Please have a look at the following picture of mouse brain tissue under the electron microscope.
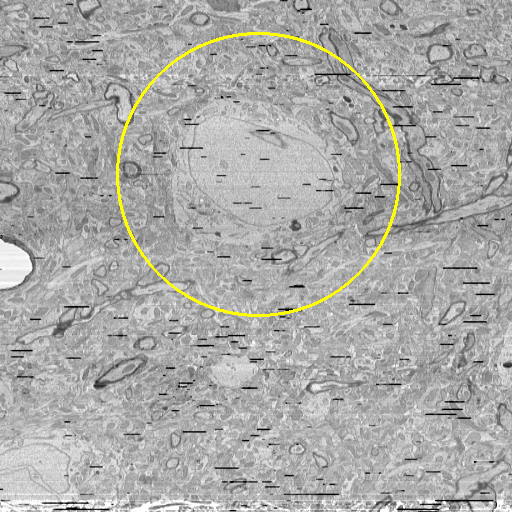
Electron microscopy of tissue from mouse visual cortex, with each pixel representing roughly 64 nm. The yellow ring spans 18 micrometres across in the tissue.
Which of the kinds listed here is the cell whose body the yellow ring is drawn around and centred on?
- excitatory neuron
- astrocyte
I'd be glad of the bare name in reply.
excitatory neuron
